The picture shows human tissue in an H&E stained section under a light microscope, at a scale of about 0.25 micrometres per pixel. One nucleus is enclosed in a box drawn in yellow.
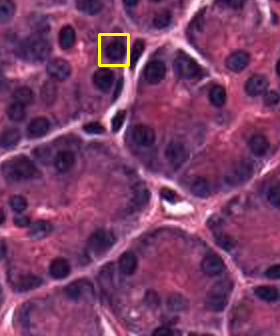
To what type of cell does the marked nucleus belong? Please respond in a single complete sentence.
The owner of the marked nucleus is a pancreatic acinar cell.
